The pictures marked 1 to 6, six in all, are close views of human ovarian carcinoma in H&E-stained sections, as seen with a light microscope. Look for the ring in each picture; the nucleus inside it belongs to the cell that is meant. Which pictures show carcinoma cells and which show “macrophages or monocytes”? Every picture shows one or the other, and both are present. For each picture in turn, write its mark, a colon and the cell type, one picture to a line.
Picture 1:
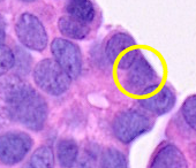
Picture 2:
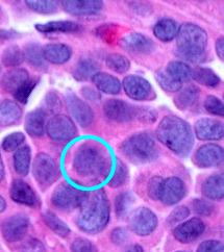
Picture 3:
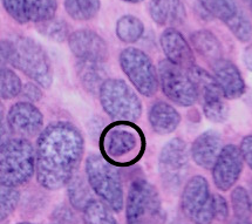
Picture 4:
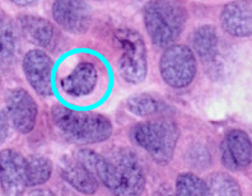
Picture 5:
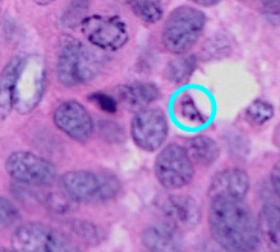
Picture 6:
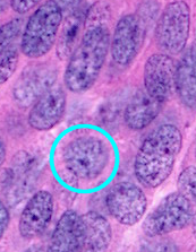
1: carcinoma cell
2: carcinoma cell
3: macrophage or monocyte
4: macrophage or monocyte
5: macrophage or monocyte
6: carcinoma cell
